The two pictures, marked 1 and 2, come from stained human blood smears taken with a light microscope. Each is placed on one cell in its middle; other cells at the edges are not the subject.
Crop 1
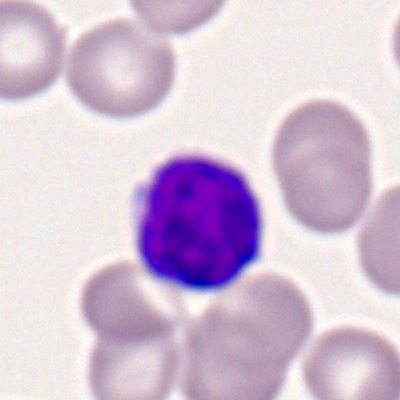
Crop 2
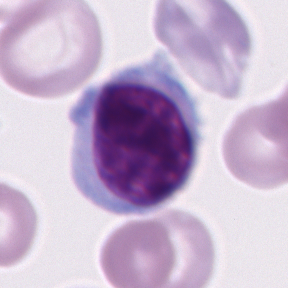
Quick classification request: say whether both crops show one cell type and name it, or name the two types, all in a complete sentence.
Yes, lymphocytes are at the centre in both crops.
